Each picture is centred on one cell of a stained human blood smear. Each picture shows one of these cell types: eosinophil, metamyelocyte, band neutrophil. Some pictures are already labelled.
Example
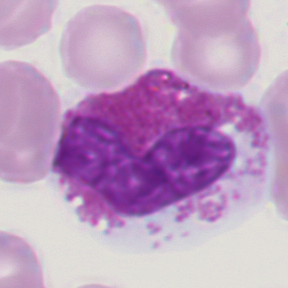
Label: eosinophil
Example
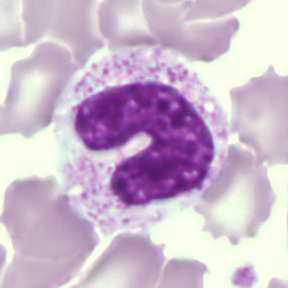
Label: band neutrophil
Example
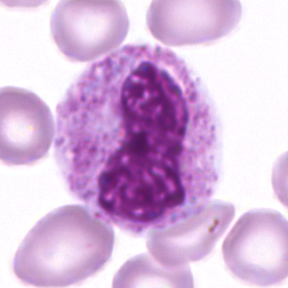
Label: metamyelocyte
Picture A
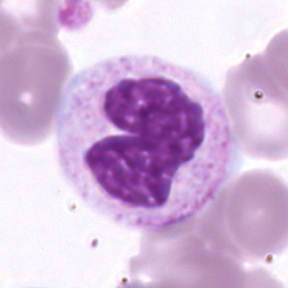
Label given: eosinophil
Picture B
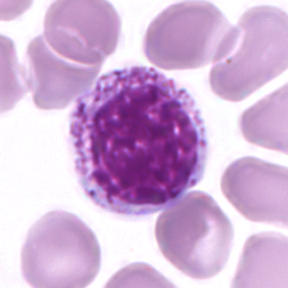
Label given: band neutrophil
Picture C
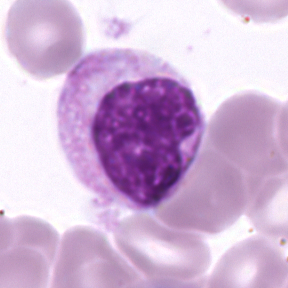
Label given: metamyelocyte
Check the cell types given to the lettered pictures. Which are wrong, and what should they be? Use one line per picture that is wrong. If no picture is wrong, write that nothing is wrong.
A: not eosinophil but band neutrophil
B: not band neutrophil but metamyelocyte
